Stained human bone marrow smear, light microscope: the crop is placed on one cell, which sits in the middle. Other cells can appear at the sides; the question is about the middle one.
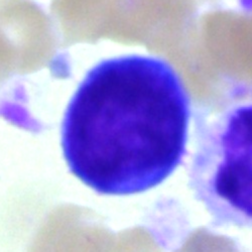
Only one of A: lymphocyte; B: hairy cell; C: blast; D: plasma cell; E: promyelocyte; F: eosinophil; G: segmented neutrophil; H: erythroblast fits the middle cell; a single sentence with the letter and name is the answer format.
The central cell is a blast, which makes option C the right answer.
